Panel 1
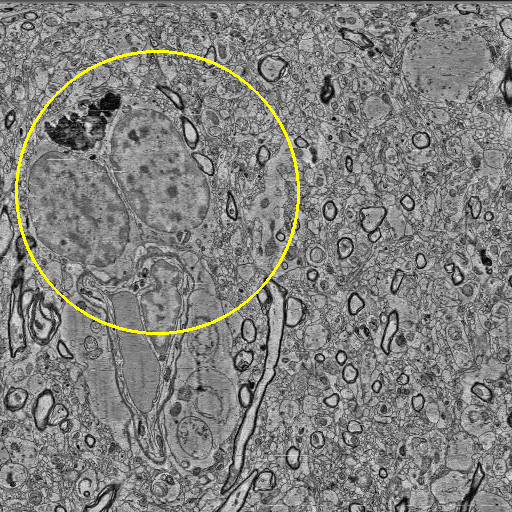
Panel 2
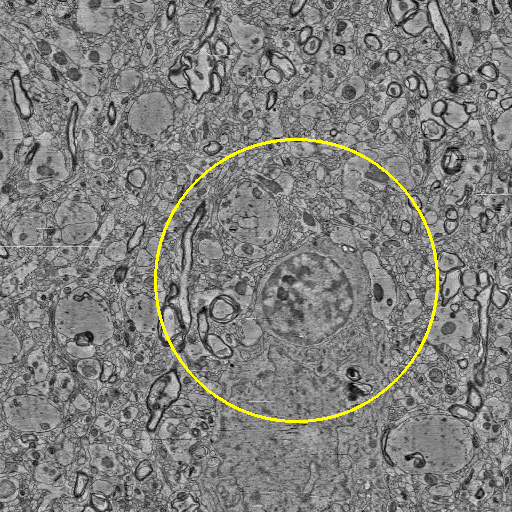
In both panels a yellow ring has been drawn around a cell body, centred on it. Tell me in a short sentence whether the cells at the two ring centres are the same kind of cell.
Yes, they are the same kind of cell.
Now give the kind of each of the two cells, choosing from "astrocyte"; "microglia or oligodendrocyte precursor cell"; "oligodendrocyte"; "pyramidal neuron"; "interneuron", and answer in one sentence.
Both rings mark an oligodendrocyte, one in each picture.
